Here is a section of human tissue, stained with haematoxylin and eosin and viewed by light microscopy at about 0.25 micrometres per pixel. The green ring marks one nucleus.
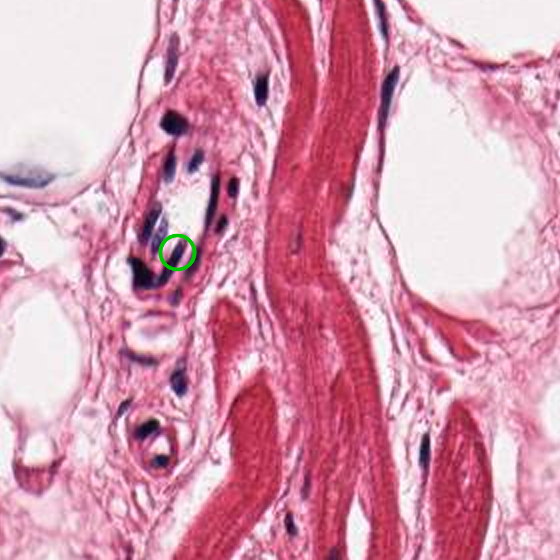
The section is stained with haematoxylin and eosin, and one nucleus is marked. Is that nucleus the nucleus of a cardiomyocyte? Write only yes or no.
no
